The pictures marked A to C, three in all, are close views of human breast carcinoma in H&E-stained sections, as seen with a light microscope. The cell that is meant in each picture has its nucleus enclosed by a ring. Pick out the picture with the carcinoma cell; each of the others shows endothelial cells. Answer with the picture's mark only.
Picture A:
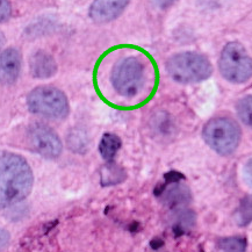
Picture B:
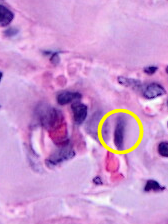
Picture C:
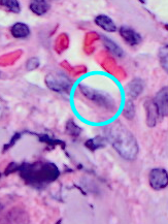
A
